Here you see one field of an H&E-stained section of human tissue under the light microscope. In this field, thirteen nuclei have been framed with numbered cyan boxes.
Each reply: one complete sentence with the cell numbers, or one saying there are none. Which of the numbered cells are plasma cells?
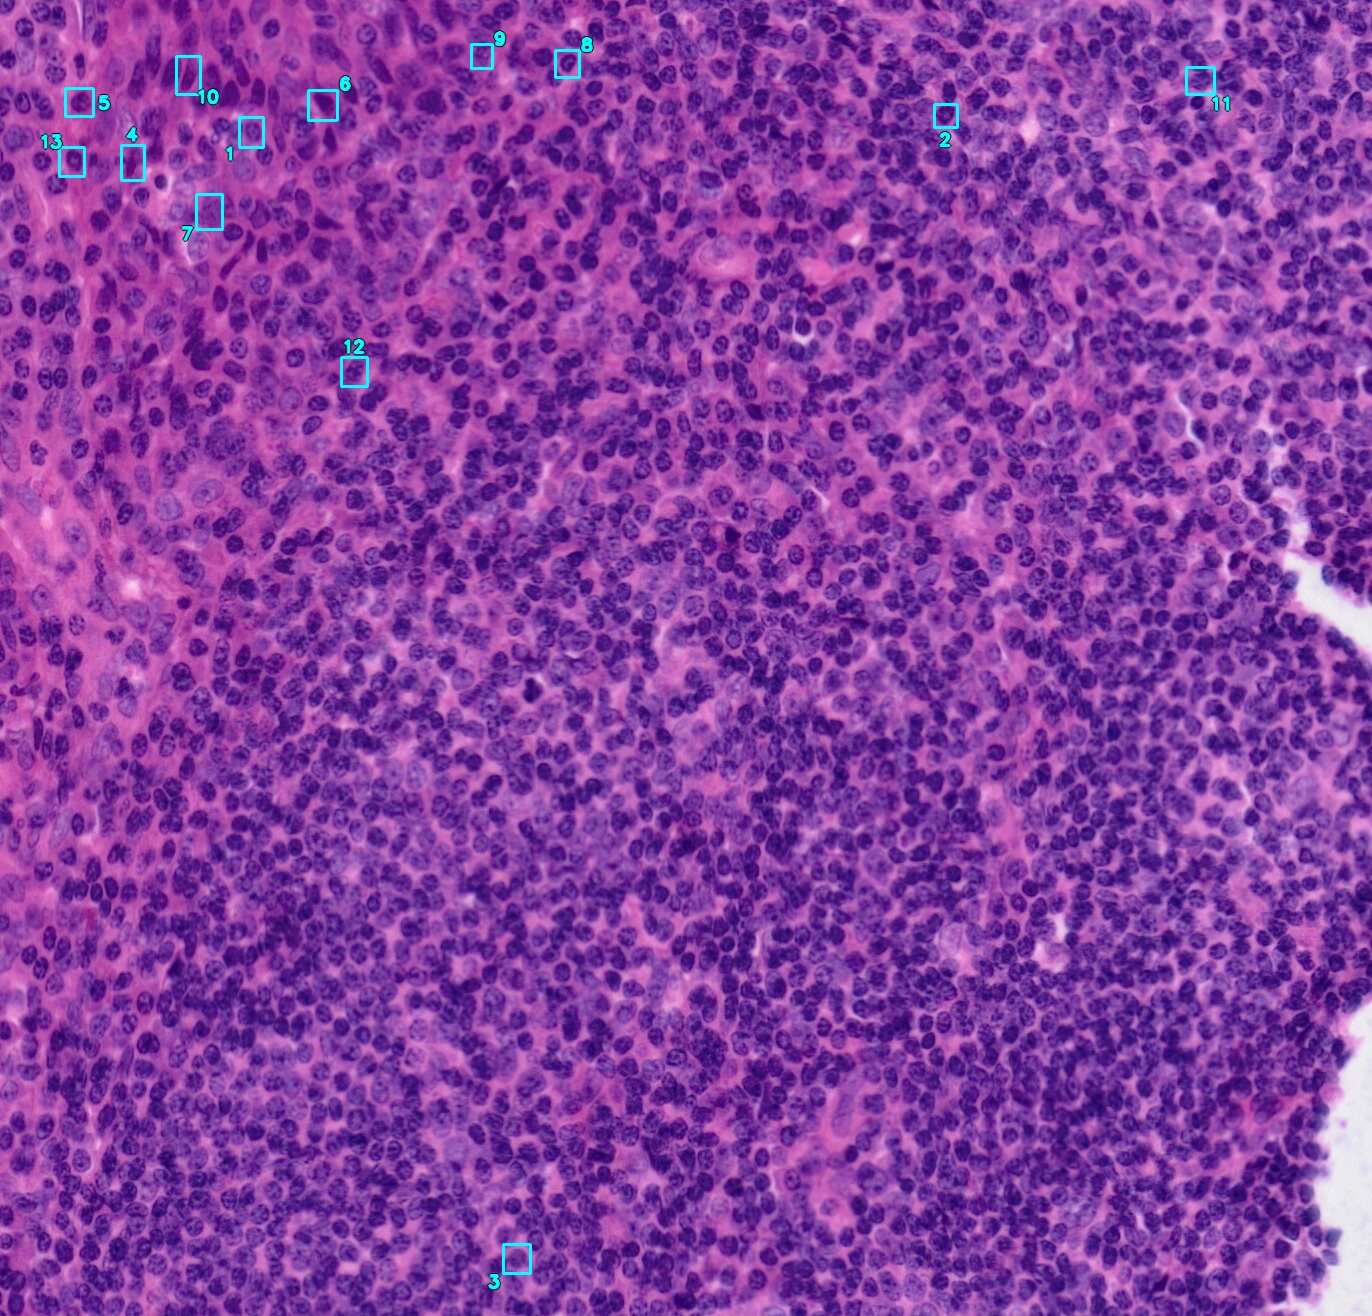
The cells shown with numbers 1, 2, 5, 8, 12 and 13 are plasma cells.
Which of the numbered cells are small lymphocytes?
Identified as small lymphocytes are the cells numbered 3 and 11.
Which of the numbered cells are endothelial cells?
Identified by number, the marked cells include no endothelial cells.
